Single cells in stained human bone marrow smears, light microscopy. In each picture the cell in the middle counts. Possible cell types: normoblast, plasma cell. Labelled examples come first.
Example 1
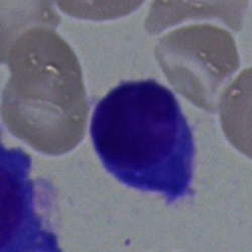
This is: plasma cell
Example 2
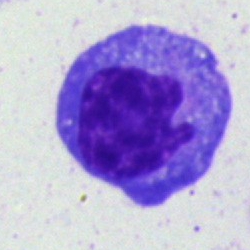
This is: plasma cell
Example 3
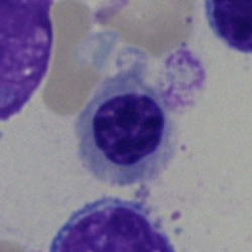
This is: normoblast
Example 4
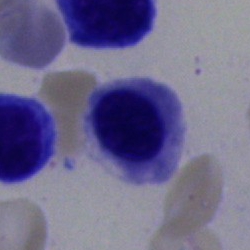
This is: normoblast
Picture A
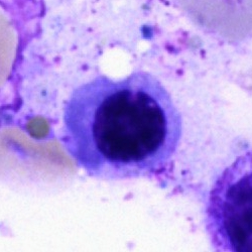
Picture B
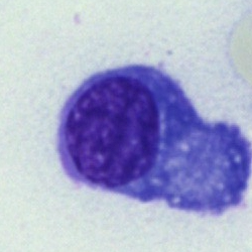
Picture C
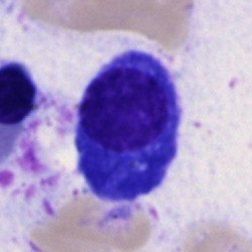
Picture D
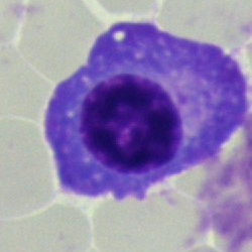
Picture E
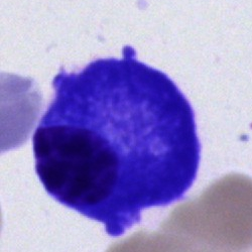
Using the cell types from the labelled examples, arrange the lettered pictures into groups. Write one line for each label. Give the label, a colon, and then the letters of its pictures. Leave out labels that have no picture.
normoblast: A
plasma cell: B, C, D, E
